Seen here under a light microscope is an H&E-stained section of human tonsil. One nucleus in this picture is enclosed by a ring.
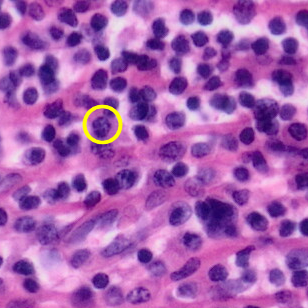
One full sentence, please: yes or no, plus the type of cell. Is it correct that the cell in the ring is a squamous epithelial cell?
No, not quite: the cell in the ring is a plasma cell rather than a squamous epithelial cell.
